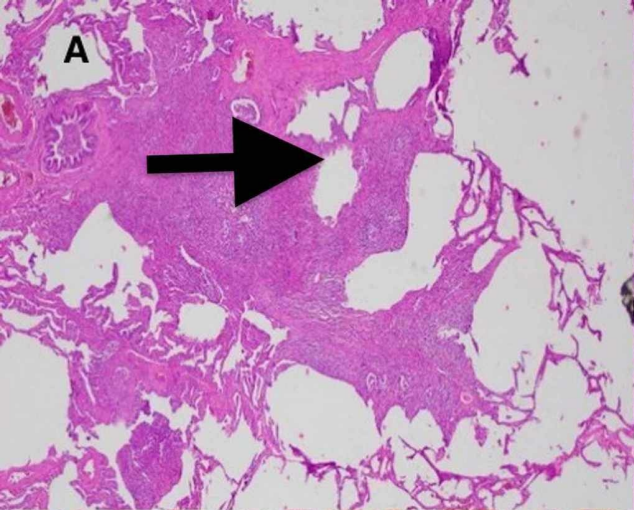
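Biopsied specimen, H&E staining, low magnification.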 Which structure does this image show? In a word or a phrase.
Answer: Stellate nodules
